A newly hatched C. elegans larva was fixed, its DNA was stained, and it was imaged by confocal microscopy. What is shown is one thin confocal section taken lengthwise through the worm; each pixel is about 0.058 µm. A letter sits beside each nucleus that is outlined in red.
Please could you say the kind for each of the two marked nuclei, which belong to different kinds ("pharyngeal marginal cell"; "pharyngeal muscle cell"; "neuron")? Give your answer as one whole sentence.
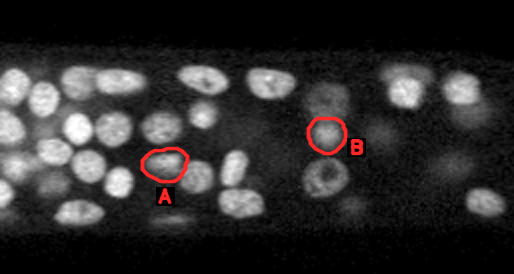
A is in a pharyngeal marginal cell and B is in a neuron.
